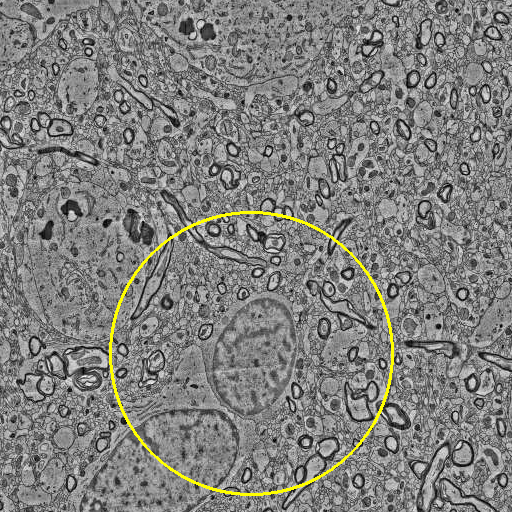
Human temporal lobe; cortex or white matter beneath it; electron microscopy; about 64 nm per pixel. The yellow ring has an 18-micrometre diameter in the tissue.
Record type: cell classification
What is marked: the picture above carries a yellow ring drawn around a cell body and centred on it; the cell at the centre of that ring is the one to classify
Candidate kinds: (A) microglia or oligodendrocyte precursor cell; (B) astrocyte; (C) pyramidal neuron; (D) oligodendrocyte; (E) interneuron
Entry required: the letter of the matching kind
D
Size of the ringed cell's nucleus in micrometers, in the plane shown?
Approximately 8 x 5 micrometres in this plane.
